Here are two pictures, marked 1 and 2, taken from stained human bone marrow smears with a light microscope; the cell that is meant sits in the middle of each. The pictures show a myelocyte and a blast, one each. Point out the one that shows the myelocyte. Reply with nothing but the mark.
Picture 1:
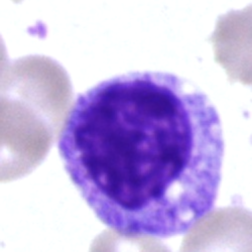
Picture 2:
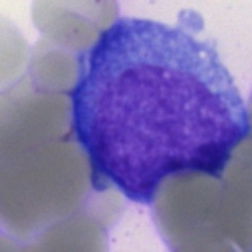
1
